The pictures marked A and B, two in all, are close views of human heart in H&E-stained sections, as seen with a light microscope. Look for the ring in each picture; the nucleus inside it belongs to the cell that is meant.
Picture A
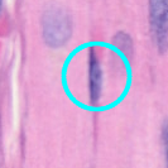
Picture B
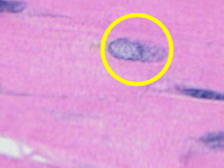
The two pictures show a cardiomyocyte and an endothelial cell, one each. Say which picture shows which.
A: endothelial cell
B: cardiomyocyte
